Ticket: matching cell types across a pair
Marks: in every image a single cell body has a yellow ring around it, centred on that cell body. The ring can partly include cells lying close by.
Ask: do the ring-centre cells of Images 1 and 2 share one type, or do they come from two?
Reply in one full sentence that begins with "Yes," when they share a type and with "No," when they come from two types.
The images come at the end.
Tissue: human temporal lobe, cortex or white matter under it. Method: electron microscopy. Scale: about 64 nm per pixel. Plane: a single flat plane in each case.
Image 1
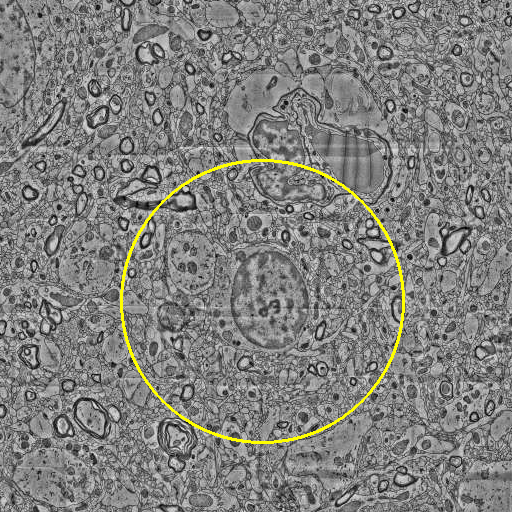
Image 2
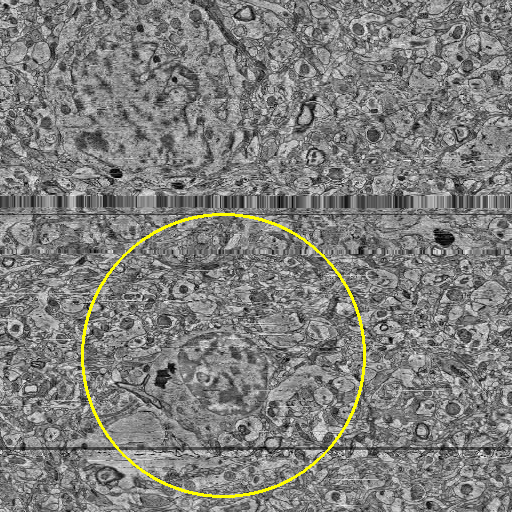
Yes, the cells in the centres of the rings in Image 1 and Image 2 share one type.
